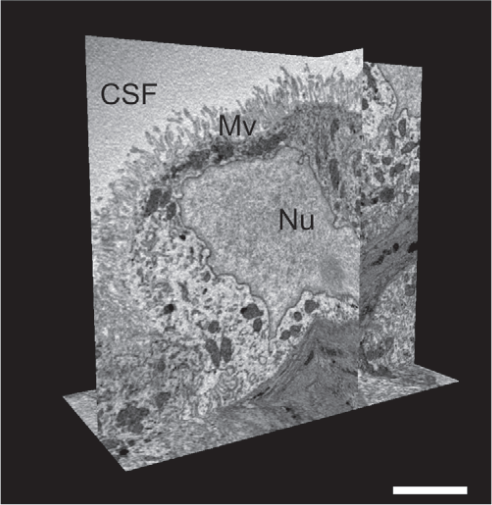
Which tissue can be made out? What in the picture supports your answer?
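An epithelial cell carries a dense brush border of microvilli on its surface facing a fluid-filled space. Many dark mitochondria crowd the cytoplasm beneath the apical surface.
Choroid plexus.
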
